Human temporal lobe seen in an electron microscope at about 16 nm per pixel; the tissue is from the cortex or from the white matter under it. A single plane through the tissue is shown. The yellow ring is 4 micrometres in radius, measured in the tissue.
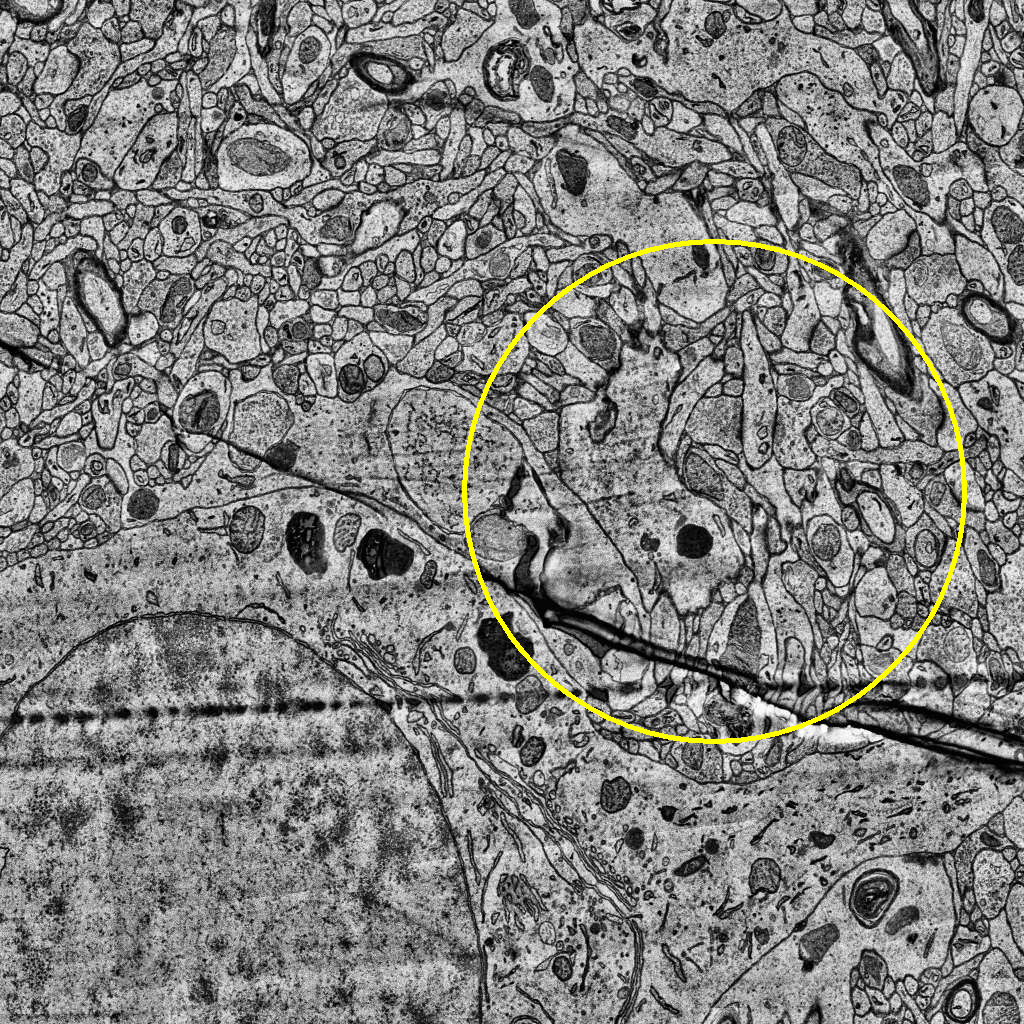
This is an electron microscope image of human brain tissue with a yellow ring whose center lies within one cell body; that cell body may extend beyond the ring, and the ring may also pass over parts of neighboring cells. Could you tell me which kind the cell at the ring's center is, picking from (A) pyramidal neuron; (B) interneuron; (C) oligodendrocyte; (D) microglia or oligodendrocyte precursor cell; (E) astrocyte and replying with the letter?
A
